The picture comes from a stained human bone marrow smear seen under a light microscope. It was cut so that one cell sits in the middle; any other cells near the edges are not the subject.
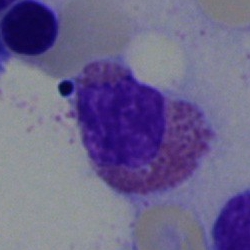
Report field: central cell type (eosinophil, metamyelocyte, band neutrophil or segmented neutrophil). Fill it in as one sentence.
Occupying the centre of the crop is an eosinophil.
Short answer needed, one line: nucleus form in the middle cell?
Have a look at the nucleus, which is one compact mass, round, oval or kidney-shaped.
